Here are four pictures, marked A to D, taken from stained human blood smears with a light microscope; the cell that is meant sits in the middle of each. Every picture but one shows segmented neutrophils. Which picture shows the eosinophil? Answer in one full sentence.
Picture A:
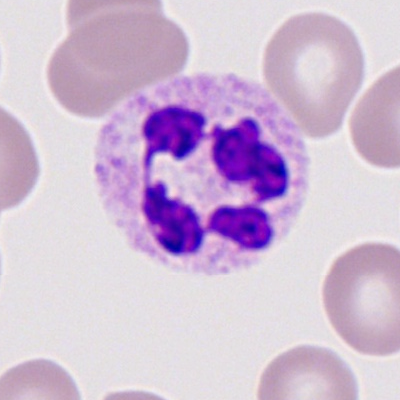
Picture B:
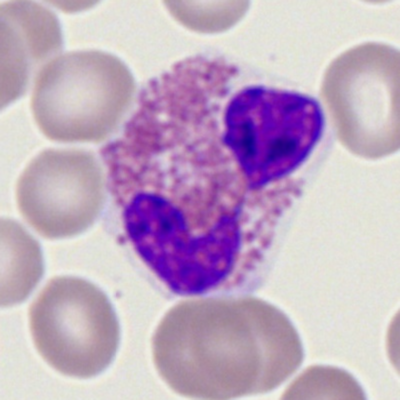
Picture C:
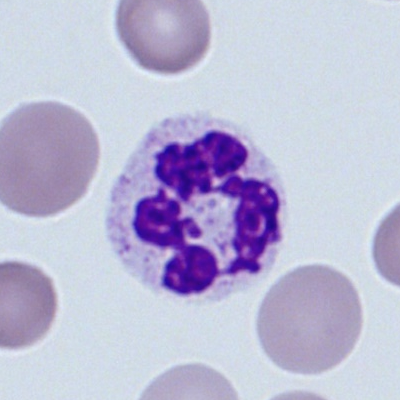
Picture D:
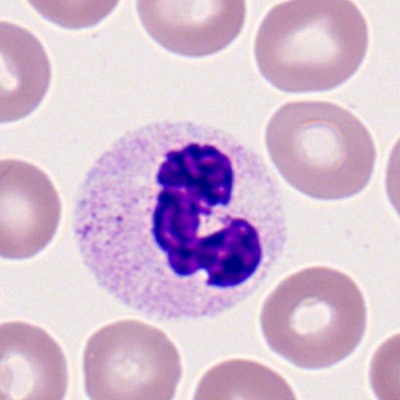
The picture with the eosinophil is B.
